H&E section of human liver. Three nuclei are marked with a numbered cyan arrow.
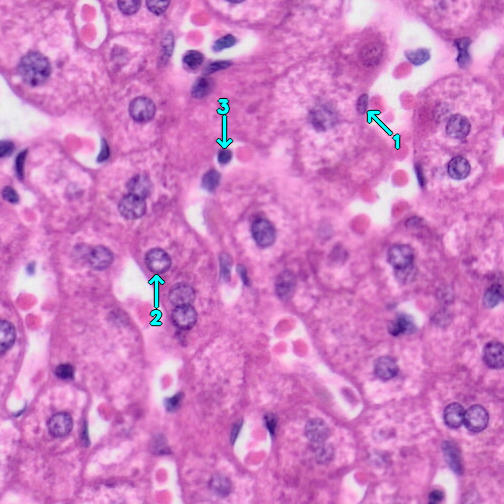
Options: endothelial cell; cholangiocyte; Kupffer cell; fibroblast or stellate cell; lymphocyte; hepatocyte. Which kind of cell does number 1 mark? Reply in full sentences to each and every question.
Number 1 is placed on a Kupffer cell here.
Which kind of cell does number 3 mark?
The cell carrying label 3 is identified as a lymphocyte.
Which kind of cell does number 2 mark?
The nucleus marked 2 is the nucleus of a hepatocyte.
